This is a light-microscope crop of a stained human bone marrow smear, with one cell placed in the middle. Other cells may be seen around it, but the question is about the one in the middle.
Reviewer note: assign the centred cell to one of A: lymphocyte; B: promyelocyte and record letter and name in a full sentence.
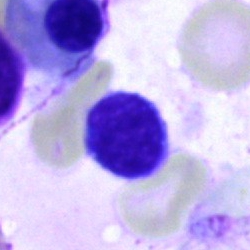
The best answer is option A, since the cell in the middle is a lymphocyte.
